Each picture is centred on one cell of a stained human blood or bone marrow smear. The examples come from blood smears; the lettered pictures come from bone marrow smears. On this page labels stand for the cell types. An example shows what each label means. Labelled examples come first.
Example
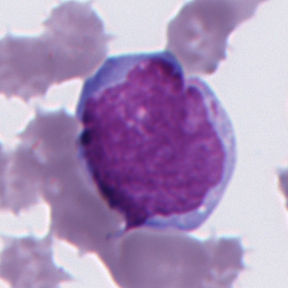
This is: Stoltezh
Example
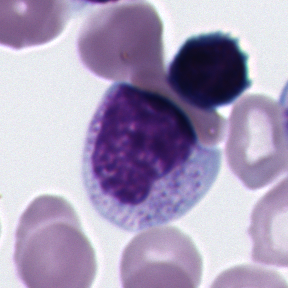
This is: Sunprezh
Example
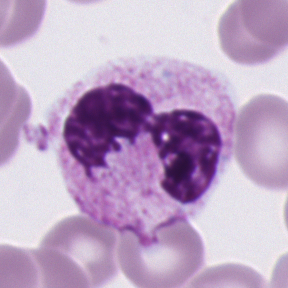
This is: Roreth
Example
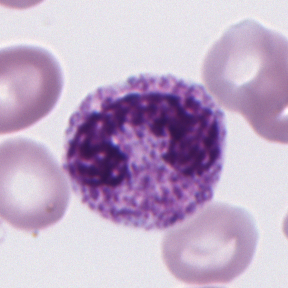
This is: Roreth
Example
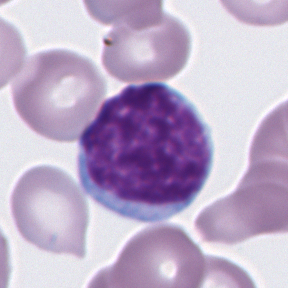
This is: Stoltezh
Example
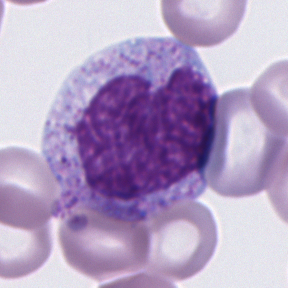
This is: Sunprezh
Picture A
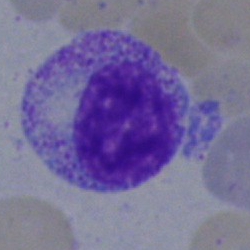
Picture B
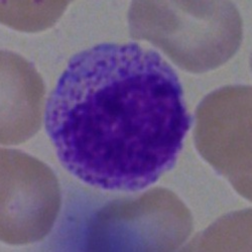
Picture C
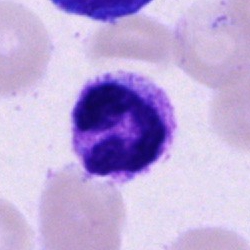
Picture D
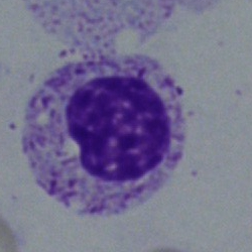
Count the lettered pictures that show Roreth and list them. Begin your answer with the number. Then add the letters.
Count: 1 (C)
